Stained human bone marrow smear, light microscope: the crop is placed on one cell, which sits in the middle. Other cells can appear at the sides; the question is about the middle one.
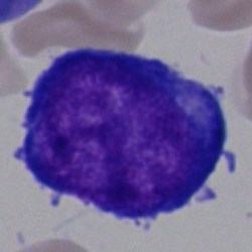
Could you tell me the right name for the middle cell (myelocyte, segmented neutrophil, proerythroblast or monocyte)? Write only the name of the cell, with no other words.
proerythroblast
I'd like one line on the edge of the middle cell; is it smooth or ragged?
The outer contour of the cell is irregular, with ragged portions or projections along it.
